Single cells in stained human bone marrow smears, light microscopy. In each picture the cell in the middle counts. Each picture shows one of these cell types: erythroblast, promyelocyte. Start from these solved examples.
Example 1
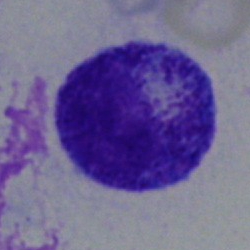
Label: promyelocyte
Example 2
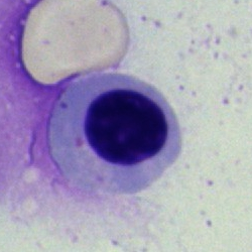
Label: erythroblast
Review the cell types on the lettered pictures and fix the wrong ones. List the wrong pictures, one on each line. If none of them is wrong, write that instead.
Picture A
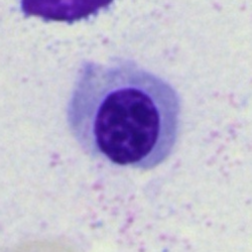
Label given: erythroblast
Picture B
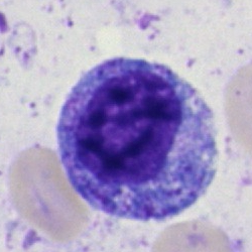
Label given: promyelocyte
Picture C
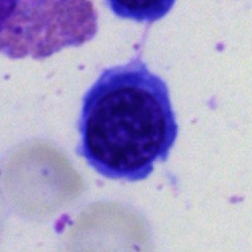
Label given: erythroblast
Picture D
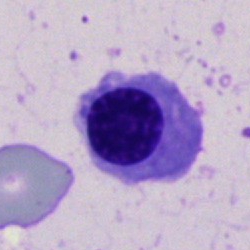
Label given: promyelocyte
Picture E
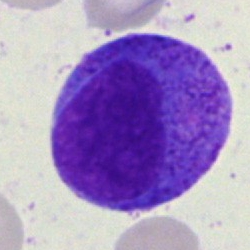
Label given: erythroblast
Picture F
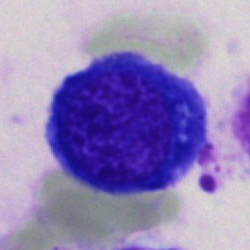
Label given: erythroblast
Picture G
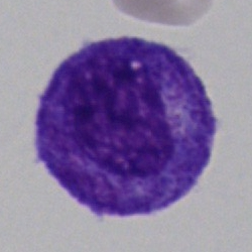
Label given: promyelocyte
D: erythroblast, not promyelocyte
E: promyelocyte, not erythroblast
